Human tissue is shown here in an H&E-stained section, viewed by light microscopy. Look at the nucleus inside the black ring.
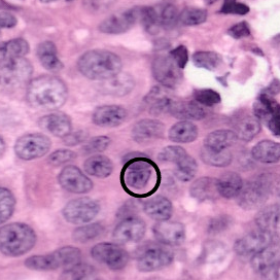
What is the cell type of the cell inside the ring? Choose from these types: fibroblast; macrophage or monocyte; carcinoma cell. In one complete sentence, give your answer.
Typologically, the cell inside the ring is a carcinoma cell in this section.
